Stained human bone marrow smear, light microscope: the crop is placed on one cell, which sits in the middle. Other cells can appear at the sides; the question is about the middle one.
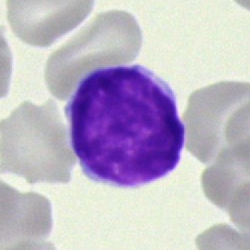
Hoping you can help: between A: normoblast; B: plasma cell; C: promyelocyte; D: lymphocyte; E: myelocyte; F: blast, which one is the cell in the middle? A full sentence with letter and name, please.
Located in the middle of the crop is a lymphocyte, and option D is therefore correct.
